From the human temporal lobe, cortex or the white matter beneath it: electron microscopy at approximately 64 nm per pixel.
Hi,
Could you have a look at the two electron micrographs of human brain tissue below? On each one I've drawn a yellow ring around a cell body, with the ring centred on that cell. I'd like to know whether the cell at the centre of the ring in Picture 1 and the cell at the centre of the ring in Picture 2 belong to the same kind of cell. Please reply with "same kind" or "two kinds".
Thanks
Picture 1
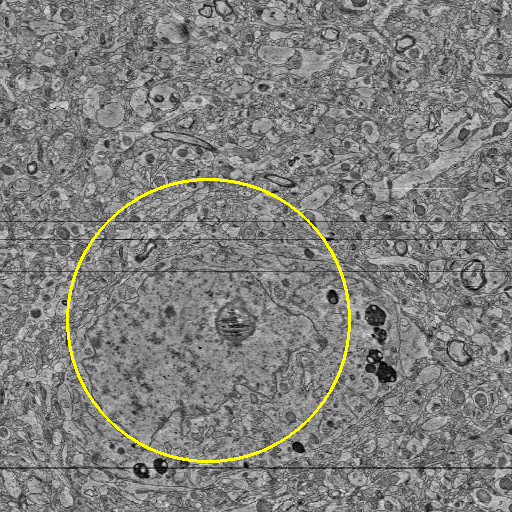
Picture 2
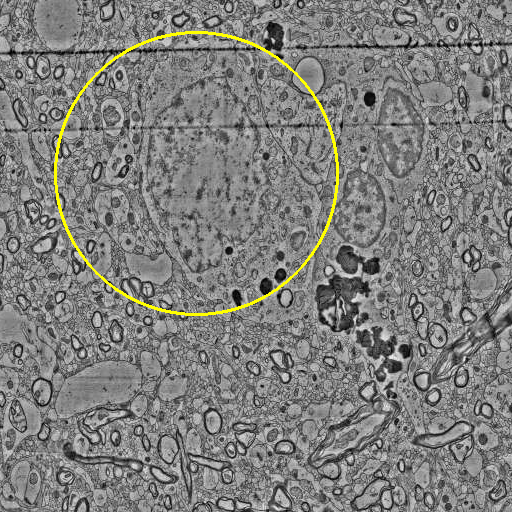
same kind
